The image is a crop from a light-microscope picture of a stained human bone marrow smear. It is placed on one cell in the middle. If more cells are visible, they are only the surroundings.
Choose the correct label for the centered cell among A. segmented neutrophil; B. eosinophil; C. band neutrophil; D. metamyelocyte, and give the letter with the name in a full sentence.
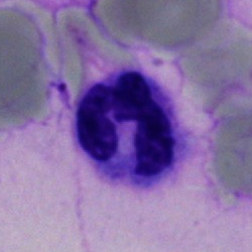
Since the middle cell is a segmented neutrophil, option A is the right one.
